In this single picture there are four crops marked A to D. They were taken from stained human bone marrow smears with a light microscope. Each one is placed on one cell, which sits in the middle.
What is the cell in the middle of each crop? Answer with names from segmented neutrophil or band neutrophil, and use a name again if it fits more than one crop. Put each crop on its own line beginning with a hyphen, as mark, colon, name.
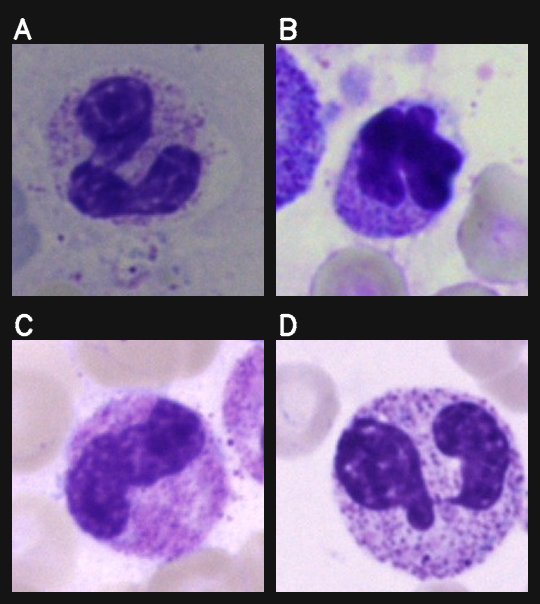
- A: segmented neutrophil
- B: segmented neutrophil
- C: band neutrophil
- D: segmented neutrophil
